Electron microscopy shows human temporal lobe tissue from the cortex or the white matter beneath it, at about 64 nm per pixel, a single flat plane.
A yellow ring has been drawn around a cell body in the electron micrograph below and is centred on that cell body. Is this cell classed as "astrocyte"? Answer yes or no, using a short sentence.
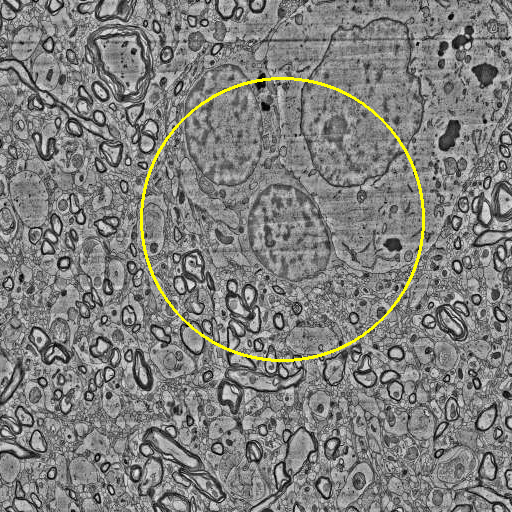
No, it is classed as another kind.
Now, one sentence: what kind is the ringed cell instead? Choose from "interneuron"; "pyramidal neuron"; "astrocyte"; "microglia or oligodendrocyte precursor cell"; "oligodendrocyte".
The answer is that the ringed cell is an oligodendrocyte.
